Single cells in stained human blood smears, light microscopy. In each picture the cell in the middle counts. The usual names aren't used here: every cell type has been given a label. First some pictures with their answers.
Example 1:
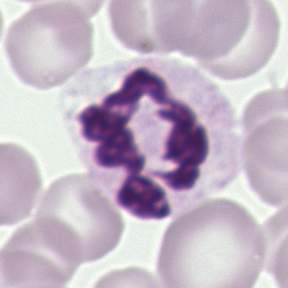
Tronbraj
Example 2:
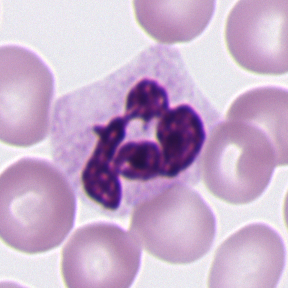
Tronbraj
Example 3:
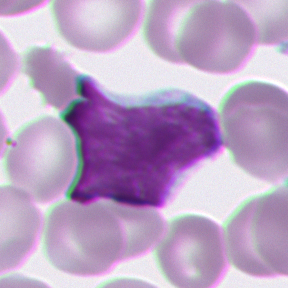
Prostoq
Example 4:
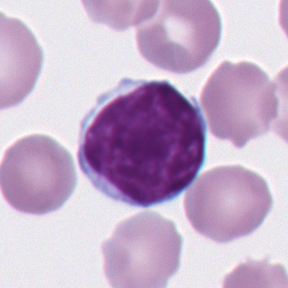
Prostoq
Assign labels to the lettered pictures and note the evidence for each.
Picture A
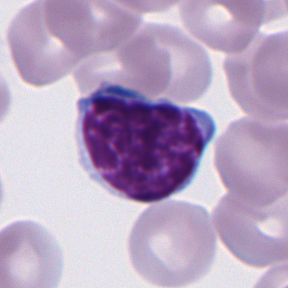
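Prostoq. Evidence: The cytoplasm forms only a thin rim around the nucleus.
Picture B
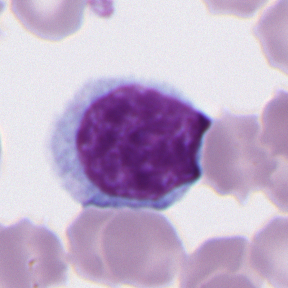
Prostoq. Evidence: The cytoplasm forms a narrow rim that is widest on the left side.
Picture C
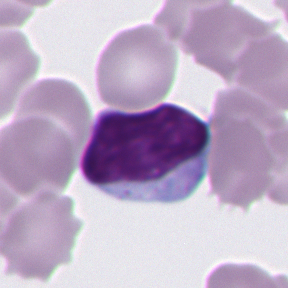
Prostoq. Evidence: The pale blue cytoplasm forms a narrow crescent below the nucleus.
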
